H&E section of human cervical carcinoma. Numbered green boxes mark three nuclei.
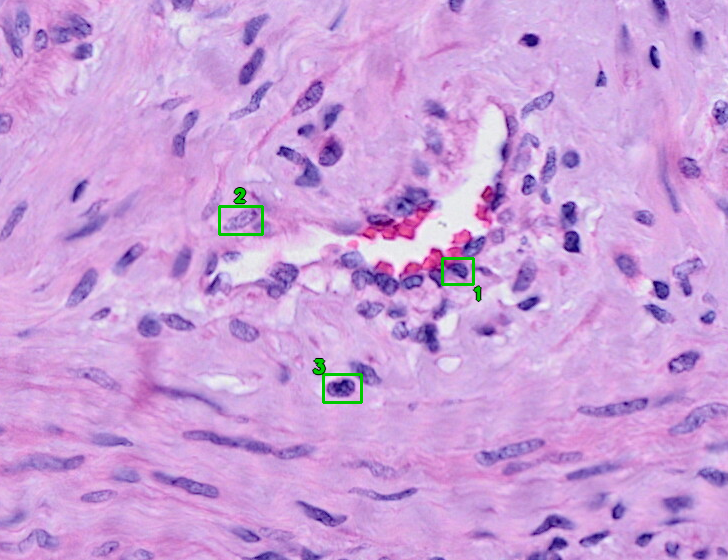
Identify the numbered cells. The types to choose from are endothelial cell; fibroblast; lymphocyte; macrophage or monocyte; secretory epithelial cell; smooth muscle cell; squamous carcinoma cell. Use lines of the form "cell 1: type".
cell 1: endothelial cell
cell 2: smooth muscle cell
cell 3: lymphocyte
